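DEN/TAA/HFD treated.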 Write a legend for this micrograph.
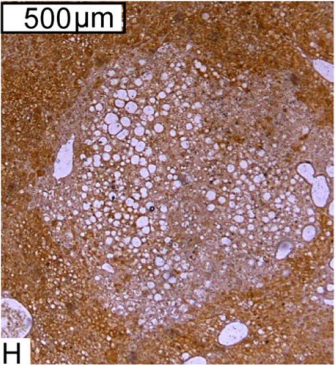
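This liver section shows a rounded lesion of hepatocytes set within surrounding liver tissue. Inside the lesion the hepatocytes are swollen by many clear, round fat vacuoles of varying size, and the tissue there stains only pale brown to bluish. The surrounding liver is compact and densely brown, with small clear vessel lumens, and it meets the lesion along a fairly sharp rounded border.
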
